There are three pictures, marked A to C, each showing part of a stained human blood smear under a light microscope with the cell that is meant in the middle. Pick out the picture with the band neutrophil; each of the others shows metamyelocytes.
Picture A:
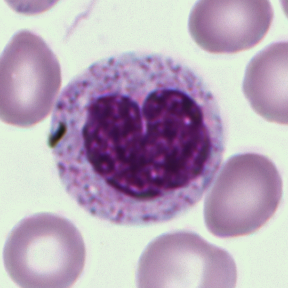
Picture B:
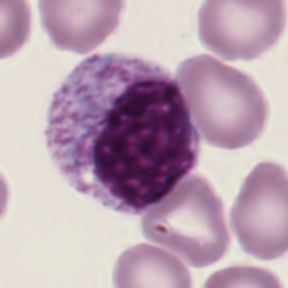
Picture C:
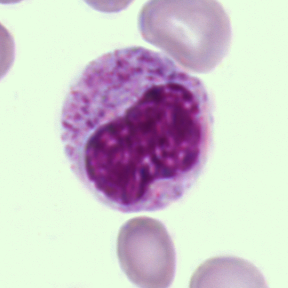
A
